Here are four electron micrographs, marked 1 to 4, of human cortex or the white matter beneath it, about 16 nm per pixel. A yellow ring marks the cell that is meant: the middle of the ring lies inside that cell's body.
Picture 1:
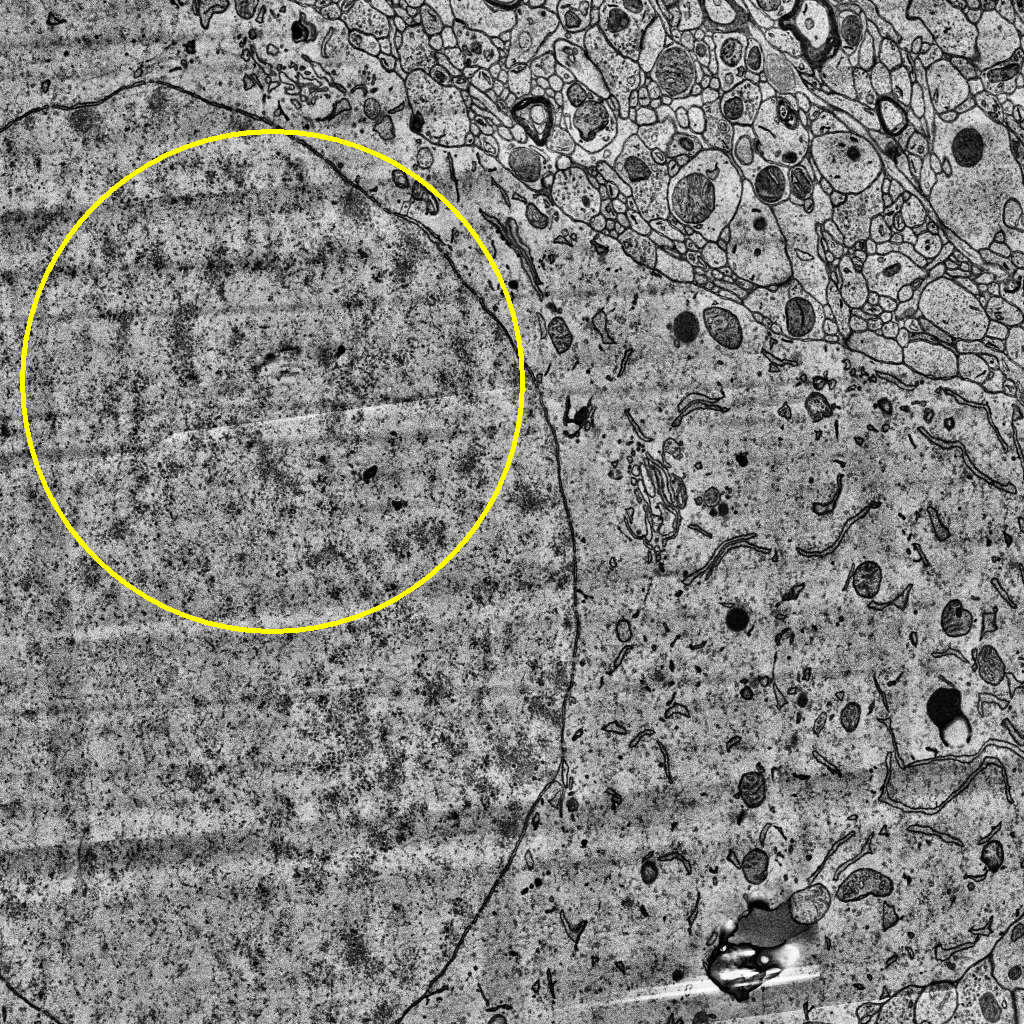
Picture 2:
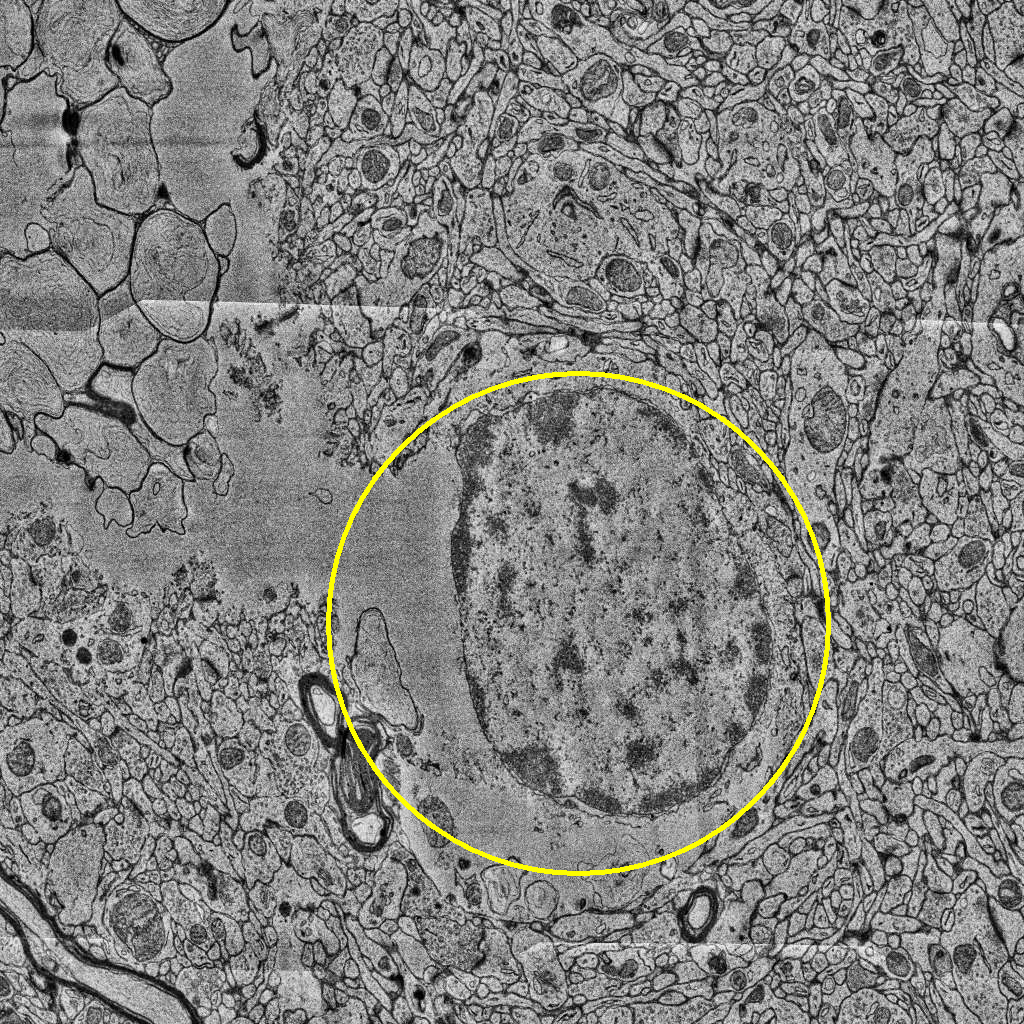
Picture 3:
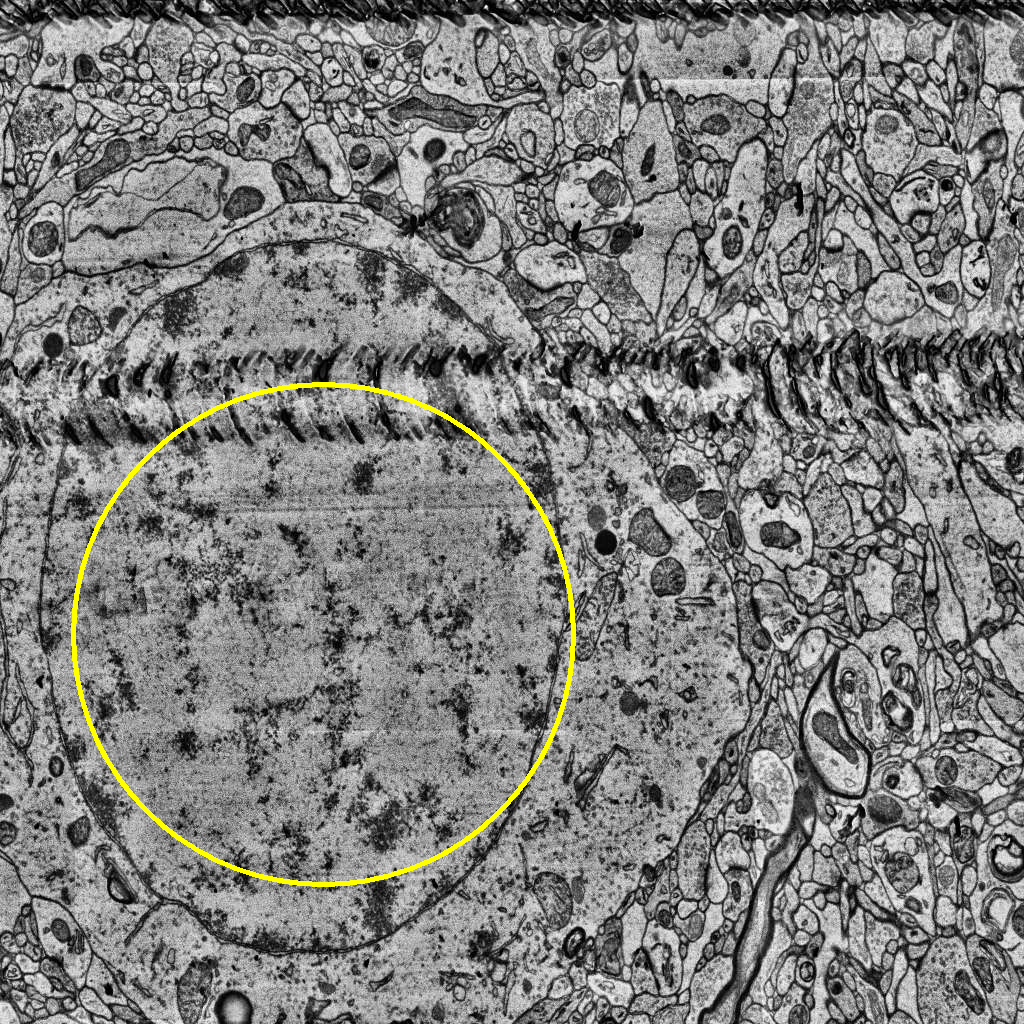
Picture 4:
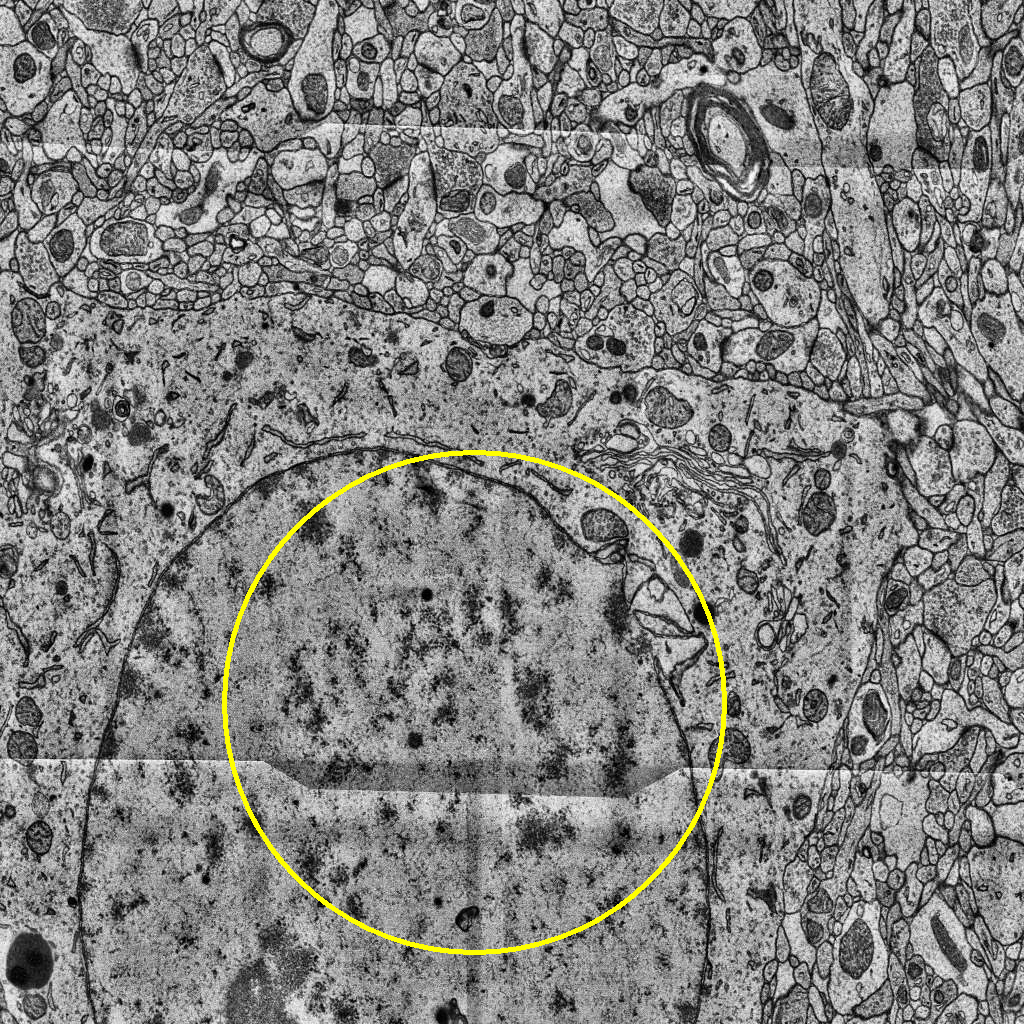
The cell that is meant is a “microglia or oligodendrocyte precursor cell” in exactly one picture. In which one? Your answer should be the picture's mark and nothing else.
2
